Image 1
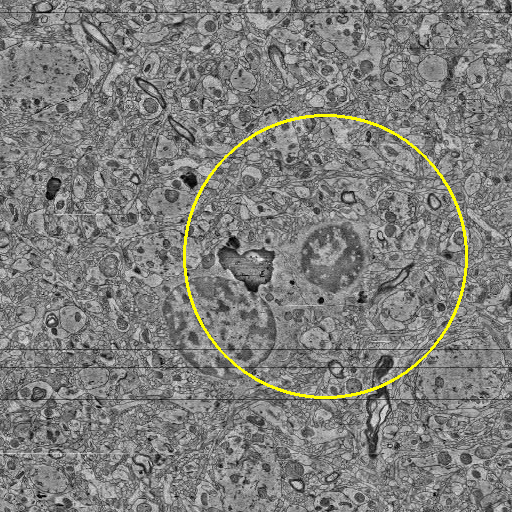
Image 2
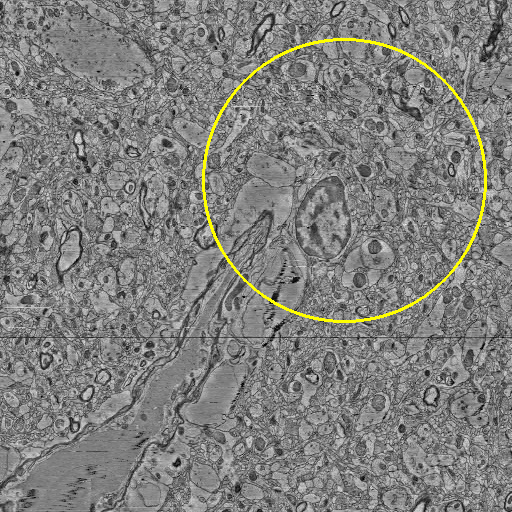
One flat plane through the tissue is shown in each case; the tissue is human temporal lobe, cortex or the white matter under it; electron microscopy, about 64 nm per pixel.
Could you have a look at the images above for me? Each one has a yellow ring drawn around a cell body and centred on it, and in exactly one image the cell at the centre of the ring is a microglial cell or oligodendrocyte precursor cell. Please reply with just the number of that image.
2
